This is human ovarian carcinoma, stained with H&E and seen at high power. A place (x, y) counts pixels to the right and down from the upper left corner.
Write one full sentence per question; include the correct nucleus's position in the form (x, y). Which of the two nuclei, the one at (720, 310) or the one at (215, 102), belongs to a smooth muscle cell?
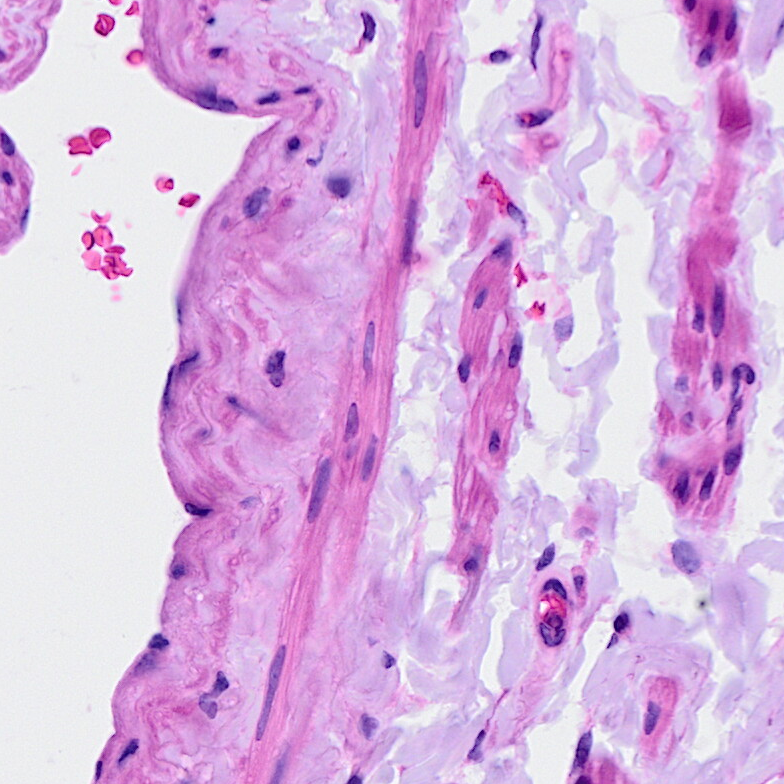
Of the two options, the nucleus at (720, 310) is the one that belongs to a smooth muscle cell.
